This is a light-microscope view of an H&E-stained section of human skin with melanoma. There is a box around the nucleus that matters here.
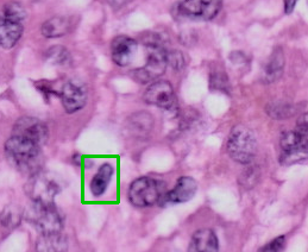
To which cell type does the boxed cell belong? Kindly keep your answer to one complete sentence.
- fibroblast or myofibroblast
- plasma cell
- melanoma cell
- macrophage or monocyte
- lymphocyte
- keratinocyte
The category to which the boxed cell belongs is that of a lymphocyte.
